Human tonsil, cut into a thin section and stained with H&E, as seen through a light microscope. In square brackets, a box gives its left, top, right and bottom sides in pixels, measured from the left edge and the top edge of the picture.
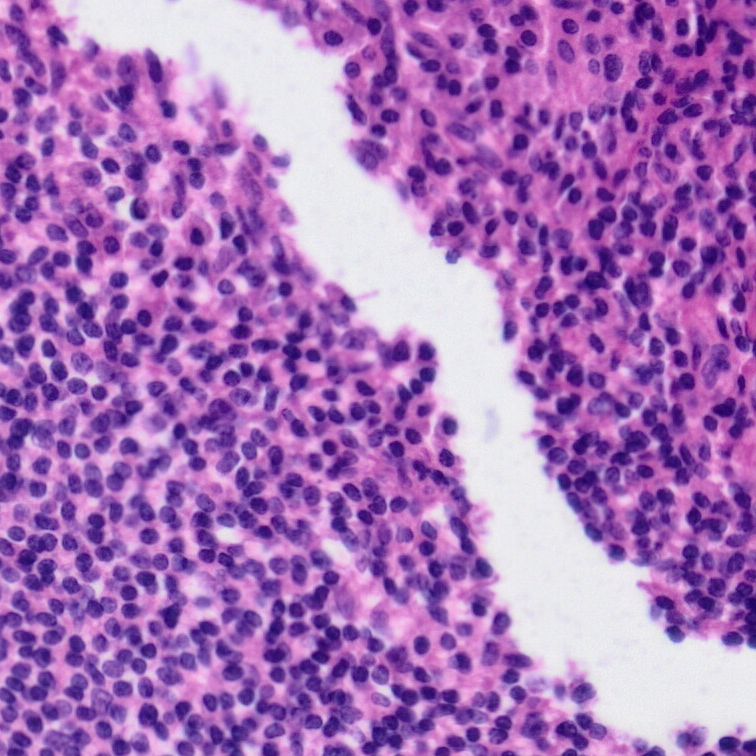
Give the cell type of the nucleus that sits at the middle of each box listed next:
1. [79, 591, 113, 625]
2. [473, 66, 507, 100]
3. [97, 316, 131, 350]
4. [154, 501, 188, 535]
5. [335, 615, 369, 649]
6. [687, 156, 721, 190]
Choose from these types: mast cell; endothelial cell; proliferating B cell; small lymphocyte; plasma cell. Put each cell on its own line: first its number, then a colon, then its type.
1: small lymphocyte
2: plasma cell
3: small lymphocyte
4: small lymphocyte
5: small lymphocyte
6: plasma cell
